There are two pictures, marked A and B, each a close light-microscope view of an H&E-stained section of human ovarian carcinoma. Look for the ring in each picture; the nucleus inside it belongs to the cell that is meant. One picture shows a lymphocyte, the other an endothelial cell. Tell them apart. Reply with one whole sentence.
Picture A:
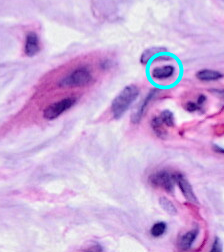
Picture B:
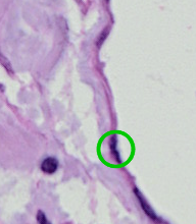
Picture B shows an endothelial cell, while picture A shows a lymphocyte.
